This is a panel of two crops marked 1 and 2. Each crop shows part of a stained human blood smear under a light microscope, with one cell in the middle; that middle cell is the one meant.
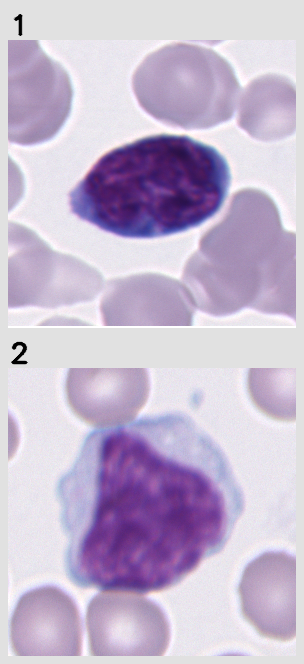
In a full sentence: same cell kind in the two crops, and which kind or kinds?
No, the middle of crop 1 holds a lymphocyte, and the middle of crop 2 holds a blast.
